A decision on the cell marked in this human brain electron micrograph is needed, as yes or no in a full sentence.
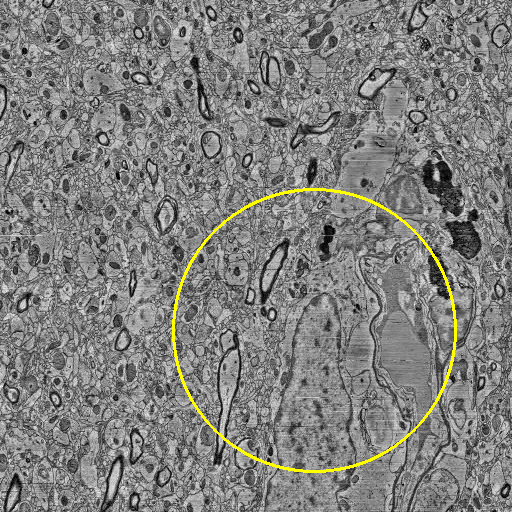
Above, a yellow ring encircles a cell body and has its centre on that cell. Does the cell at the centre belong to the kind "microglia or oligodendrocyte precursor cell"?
Yes, the kind given fits the cell at the centre of the ring in the picture.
